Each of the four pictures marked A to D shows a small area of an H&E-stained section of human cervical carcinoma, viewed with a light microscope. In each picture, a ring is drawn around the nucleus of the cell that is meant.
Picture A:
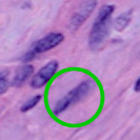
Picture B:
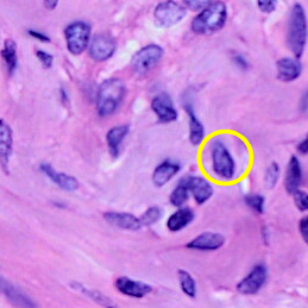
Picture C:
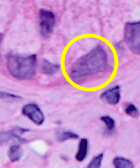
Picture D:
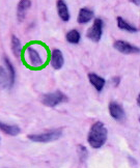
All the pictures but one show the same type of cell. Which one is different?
C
